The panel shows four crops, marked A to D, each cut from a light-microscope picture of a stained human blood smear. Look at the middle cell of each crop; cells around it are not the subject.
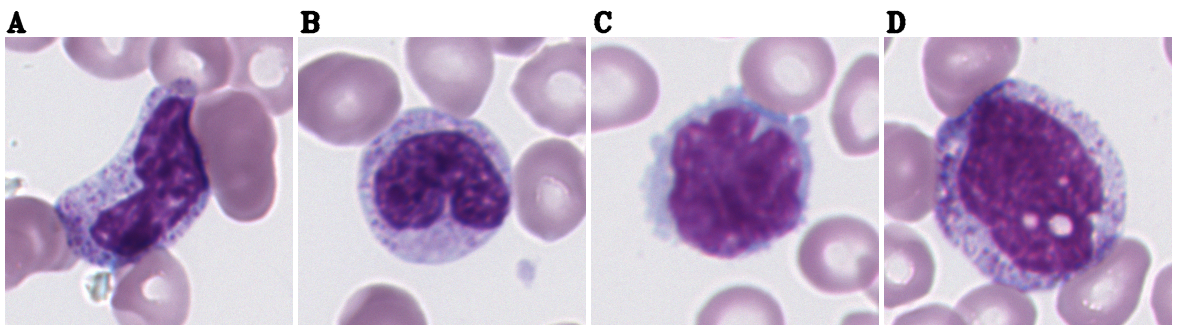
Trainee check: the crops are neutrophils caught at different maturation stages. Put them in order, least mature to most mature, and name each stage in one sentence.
The maturation order, from least to most mature, is crop C (a myeloblast), crop D (a promyelocyte), crop A (a metamyelocyte) and crop B (a band neutrophil).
